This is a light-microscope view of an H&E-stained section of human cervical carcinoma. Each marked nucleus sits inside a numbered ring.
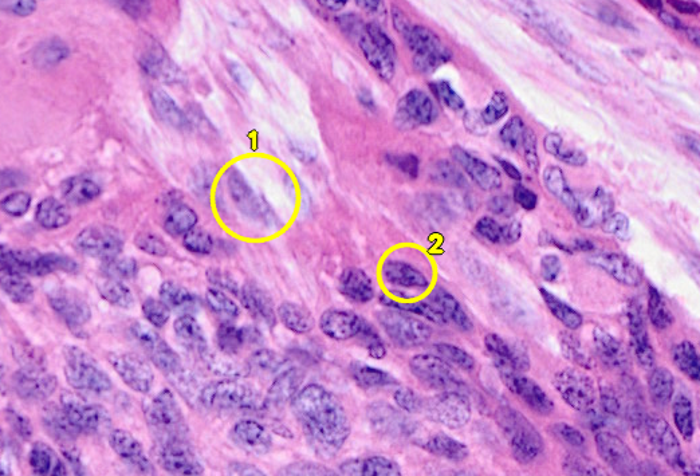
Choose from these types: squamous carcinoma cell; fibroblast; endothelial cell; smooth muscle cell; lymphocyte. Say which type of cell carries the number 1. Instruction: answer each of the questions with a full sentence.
The marked cell bearing number 1 is a fibroblast.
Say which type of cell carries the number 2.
The one labeled 2 is a squamous carcinoma cell, to put it simply.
